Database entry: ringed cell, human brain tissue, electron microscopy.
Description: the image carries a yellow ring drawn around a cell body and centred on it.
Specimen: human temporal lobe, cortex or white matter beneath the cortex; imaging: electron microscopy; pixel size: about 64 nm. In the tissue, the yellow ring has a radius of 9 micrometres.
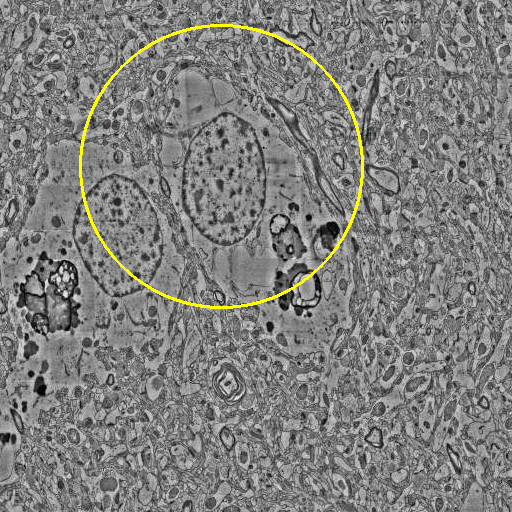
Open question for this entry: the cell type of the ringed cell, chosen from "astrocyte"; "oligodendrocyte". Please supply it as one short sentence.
The ringed cell is an astrocyte.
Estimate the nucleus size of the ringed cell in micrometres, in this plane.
About 8 by 5 micrometres, the nucleus being clearly longer than it is wide in this plane.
